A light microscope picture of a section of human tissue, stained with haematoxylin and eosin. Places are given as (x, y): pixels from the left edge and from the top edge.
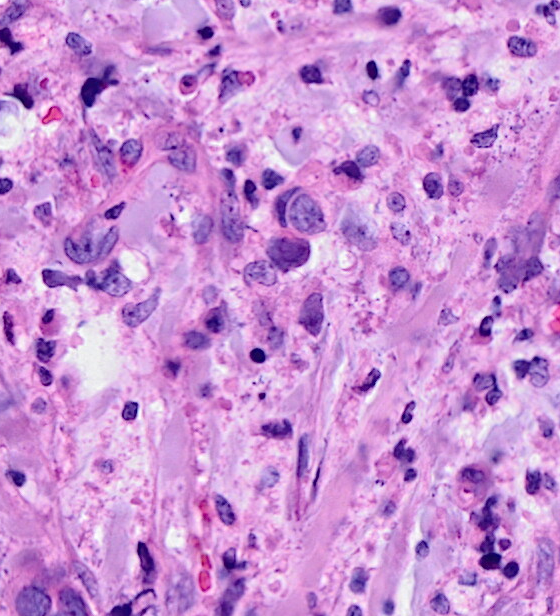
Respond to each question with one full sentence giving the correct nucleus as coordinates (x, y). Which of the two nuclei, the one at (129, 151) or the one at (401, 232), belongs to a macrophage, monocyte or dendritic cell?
Housed in a macrophage, monocyte or dendritic cell is the nucleus at (401, 232), not the other one.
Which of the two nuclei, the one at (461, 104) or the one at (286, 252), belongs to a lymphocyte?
The nucleus belonging to a lymphocyte is the one at (461, 104).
